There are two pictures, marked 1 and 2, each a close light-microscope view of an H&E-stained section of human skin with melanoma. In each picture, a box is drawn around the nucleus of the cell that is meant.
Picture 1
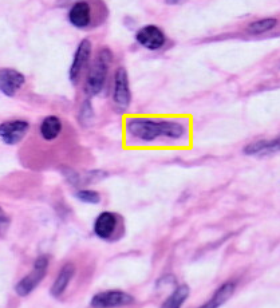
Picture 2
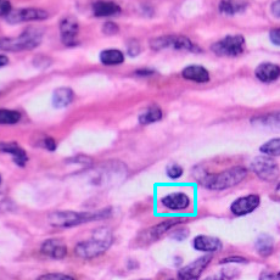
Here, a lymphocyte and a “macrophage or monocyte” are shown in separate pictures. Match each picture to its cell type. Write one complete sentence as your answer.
It is picture 1 that shows a “macrophage or monocyte”, and picture 2 that shows a lymphocyte.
